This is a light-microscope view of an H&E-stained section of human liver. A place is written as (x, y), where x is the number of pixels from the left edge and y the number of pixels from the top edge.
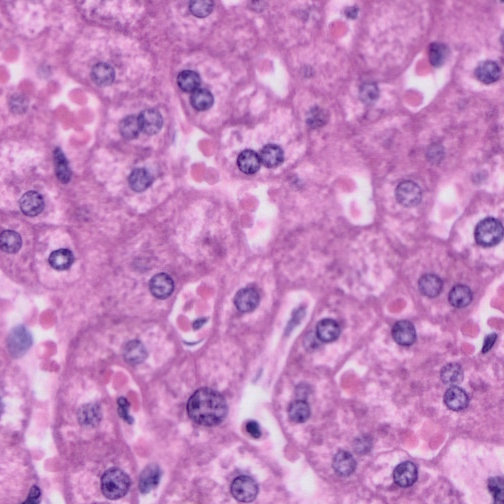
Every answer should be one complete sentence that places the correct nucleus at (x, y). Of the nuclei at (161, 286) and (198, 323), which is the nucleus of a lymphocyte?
The nucleus at (198, 323) is assigned to a lymphocyte.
